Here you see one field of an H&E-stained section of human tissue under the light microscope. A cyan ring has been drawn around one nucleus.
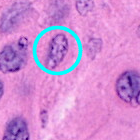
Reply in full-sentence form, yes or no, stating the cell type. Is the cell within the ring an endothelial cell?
No, the cell within the ring qualifies as a squamous carcinoma cell and does not qualify as an endothelial cell.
